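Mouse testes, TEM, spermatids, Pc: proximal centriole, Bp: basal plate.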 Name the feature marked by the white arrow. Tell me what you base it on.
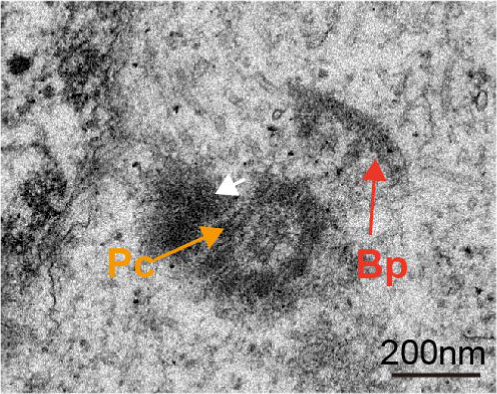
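Dense material. Electron-dense fuzzy material around a centriole-like cylinder. No striated columns are visible beside it.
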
